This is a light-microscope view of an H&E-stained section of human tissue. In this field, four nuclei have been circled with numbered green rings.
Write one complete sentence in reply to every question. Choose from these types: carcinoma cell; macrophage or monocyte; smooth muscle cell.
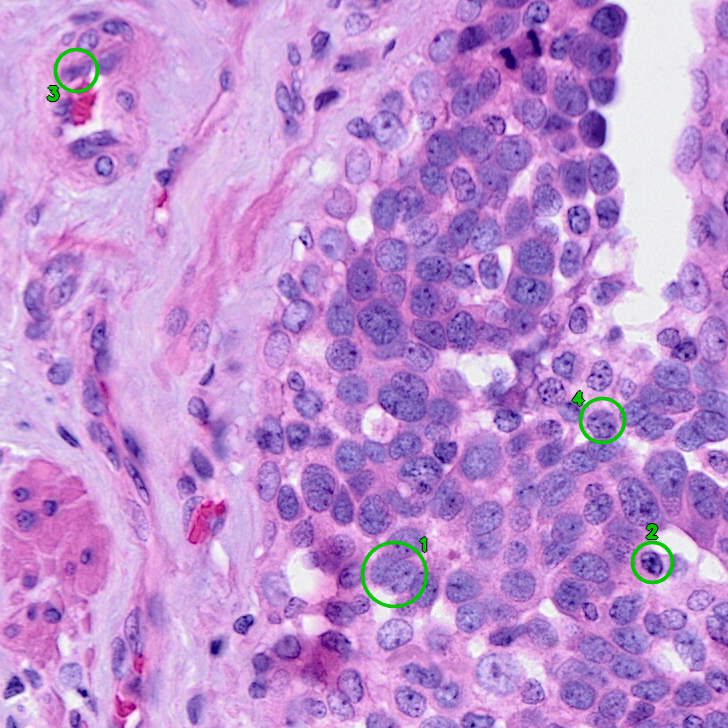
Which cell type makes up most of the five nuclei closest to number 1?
Of the five nuclei nearest to number 1, most belong to macrophages or monocytes.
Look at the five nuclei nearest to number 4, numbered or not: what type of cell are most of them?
Macrophages or monocytes account for more than half of the five nuclei nearest to number 4.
